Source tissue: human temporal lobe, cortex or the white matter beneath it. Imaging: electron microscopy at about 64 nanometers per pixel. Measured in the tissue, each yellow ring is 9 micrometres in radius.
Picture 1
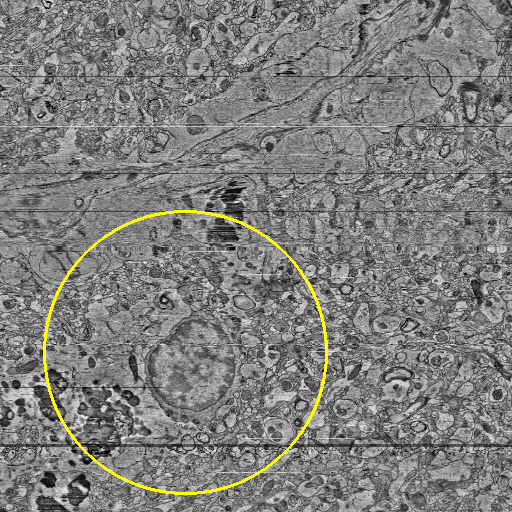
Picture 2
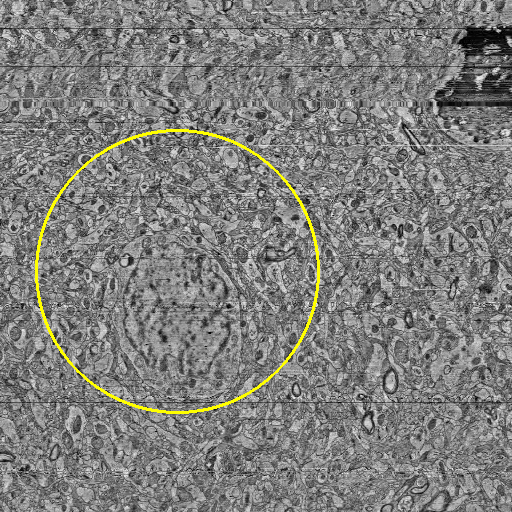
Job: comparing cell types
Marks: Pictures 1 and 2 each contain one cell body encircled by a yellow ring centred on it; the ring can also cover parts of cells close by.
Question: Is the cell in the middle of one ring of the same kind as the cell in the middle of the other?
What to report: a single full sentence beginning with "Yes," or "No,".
No, the cell at the ring centre in Picture 1 and its partner in Picture 2 are of two kinds.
